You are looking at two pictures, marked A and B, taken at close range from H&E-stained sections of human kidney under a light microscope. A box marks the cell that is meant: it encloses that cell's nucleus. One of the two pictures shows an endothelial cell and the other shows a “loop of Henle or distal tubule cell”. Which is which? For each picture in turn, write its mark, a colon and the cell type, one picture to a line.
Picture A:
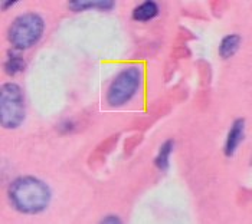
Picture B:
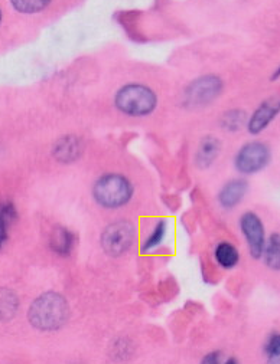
A: loop of Henle or distal tubule cell
B: endothelial cell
